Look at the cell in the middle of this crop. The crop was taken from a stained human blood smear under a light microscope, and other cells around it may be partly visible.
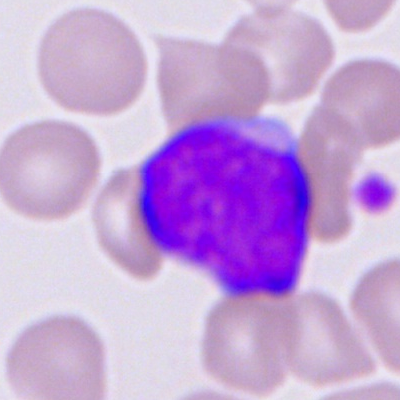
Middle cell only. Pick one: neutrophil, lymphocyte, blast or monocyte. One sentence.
Present in the middle of the crop is a blast.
